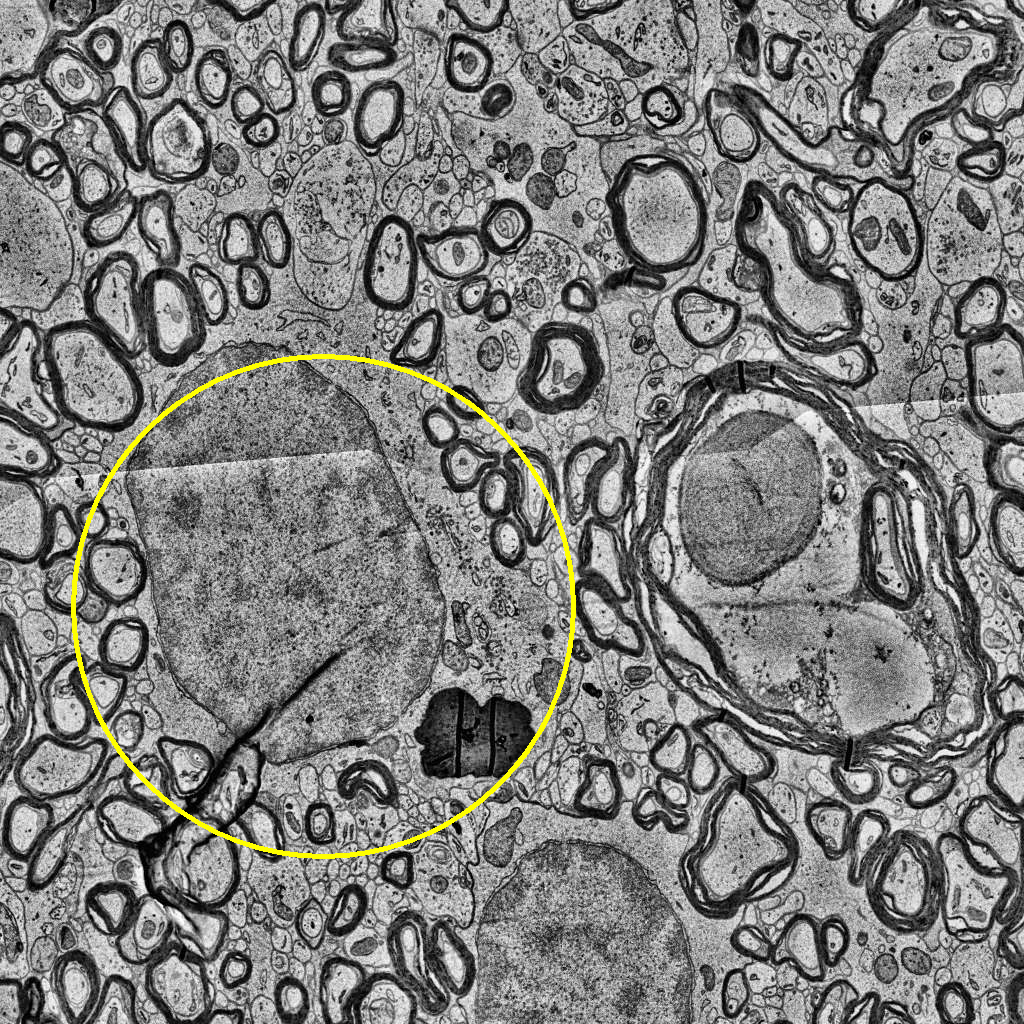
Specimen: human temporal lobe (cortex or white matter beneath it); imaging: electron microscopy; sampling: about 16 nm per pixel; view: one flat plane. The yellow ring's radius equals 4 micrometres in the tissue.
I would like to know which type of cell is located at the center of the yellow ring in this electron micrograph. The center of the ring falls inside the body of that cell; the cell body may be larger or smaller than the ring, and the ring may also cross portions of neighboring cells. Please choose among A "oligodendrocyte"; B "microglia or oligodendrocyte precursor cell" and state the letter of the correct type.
A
